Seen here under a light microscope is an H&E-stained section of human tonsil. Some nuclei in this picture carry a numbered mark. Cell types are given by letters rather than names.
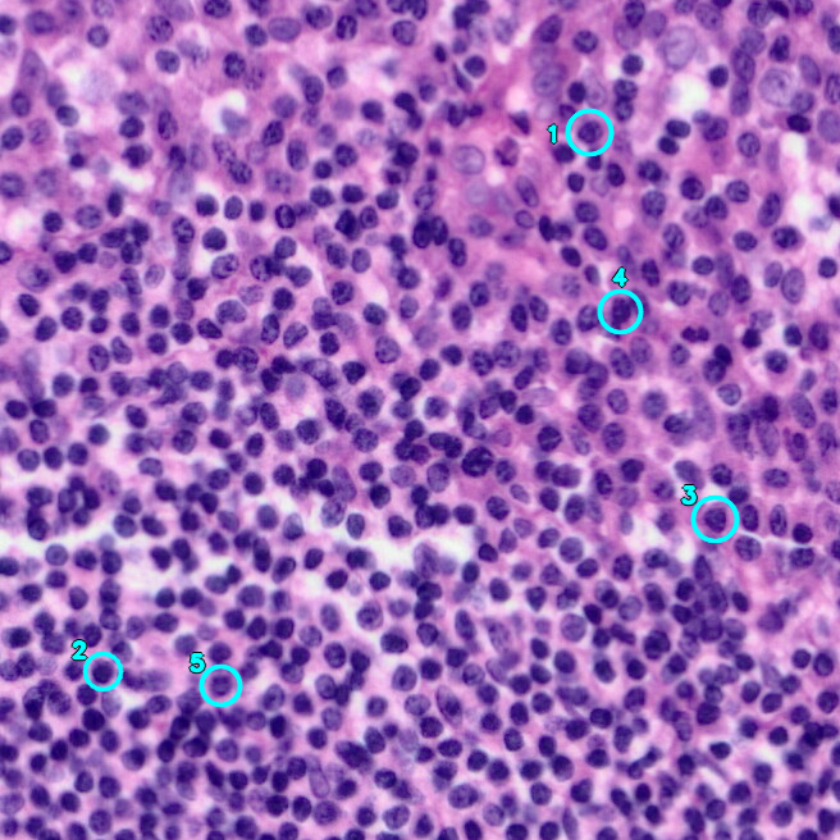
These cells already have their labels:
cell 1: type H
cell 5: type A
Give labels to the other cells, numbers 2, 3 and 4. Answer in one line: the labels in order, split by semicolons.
type A; type H; type H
